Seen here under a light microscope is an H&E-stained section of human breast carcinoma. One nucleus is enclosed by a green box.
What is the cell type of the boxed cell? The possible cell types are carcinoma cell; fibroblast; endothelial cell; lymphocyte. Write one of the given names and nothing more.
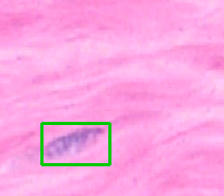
fibroblast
